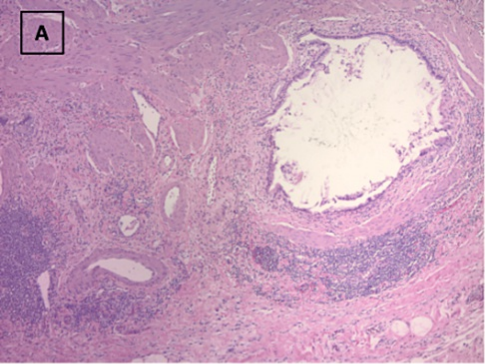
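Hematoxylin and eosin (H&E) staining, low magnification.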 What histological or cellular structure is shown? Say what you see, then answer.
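A large rounded cystic space lined by epithelium lies deep in the wall. The space is surrounded by pink smooth muscle and fibrous tissue. On this evidence: diverticula.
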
